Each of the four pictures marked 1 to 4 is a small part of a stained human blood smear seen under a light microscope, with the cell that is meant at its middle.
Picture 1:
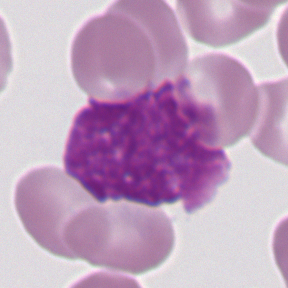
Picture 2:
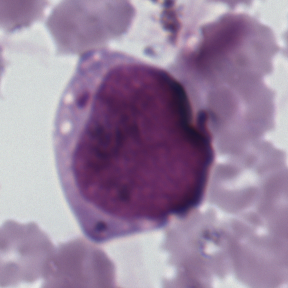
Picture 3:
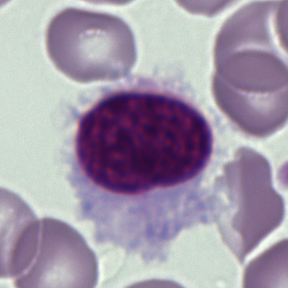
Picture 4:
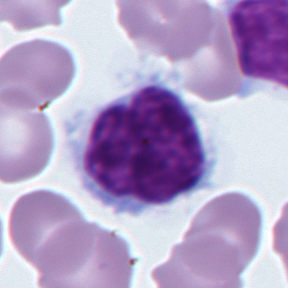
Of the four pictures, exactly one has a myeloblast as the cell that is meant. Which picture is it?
2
